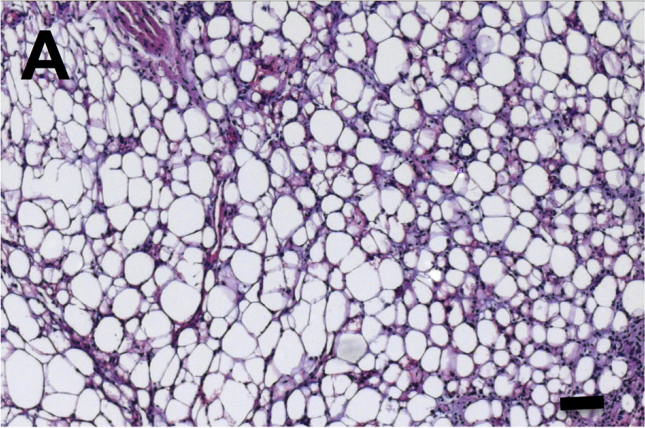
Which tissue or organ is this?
Fat pads.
